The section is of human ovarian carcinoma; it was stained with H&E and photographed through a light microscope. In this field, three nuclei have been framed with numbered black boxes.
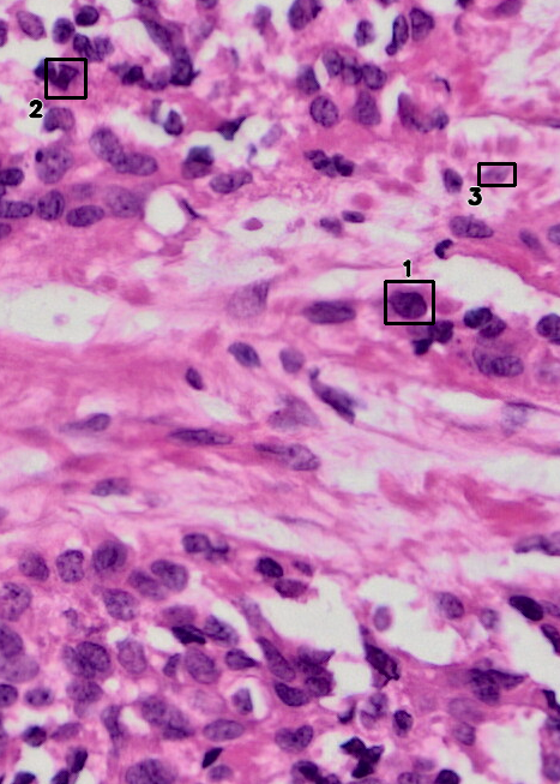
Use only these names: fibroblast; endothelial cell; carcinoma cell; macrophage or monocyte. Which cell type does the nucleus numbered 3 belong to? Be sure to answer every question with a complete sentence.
The cell whose nucleus carries the number 3 is a fibroblast.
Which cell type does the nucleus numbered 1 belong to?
Within this field of view, the cell labelled 1 is a carcinoma cell.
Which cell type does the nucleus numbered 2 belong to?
The one labeled 2 is a carcinoma cell, to put it simply.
